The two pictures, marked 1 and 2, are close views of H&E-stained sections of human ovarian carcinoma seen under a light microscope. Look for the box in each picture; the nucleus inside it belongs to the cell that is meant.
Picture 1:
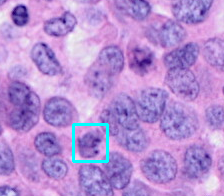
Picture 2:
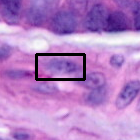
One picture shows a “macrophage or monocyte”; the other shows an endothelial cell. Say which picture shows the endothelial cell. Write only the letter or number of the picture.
2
